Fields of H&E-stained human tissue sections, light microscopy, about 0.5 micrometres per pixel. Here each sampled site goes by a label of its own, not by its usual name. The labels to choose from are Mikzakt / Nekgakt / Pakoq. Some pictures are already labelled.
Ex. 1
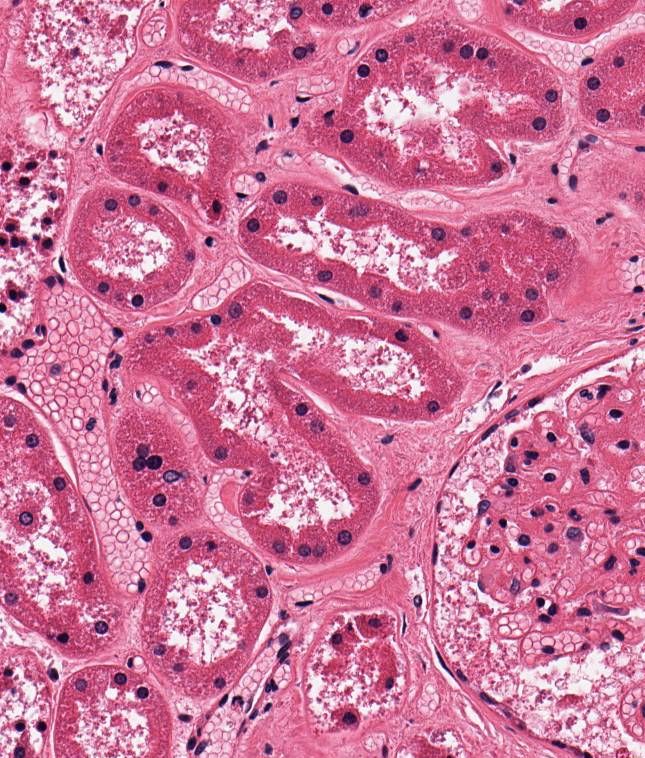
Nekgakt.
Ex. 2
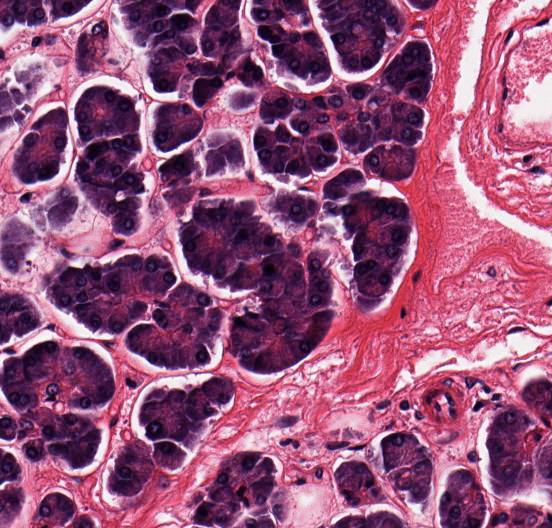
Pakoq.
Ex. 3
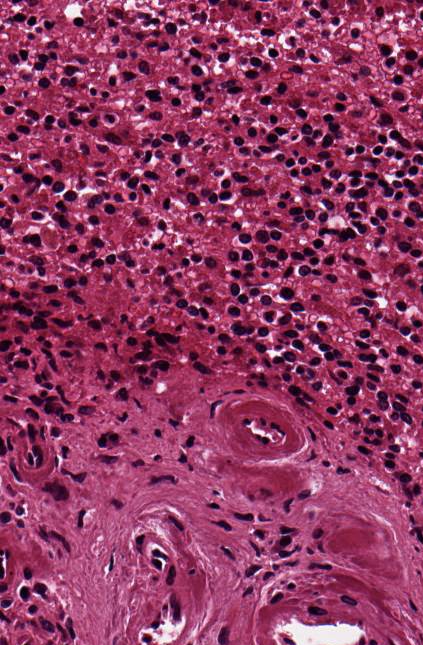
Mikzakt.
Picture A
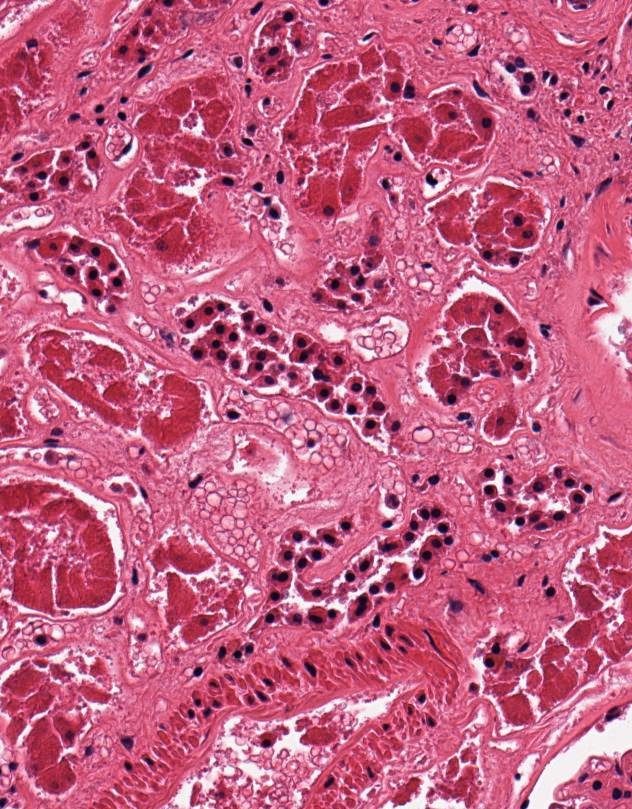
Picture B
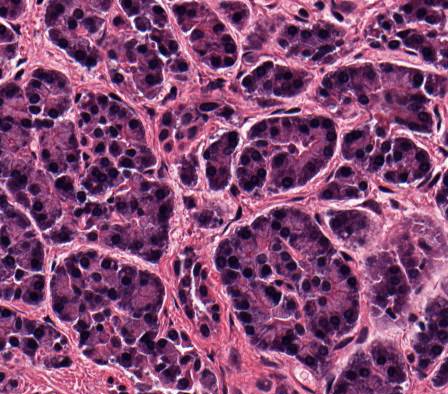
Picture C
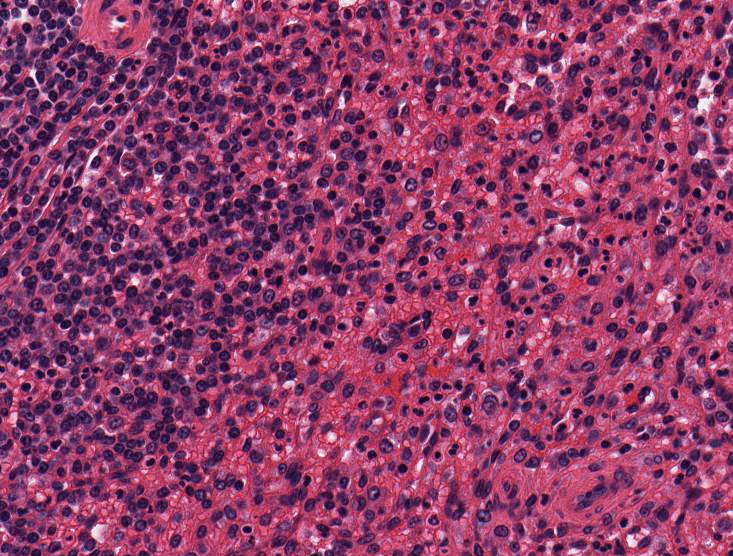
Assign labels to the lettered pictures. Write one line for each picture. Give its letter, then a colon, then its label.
A: Nekgakt.
B: Pakoq.
C: Mikzakt.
